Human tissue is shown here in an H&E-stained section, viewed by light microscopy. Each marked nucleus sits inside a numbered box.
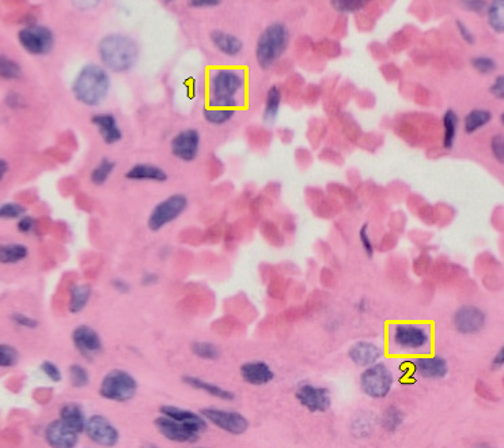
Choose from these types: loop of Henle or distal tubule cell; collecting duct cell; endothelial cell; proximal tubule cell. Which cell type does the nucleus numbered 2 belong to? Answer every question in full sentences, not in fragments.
It is as a loop of Henle or distal tubule cell that the cell numbered 2 is identified.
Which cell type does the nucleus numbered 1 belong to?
In the marked set, the cell given number 1 is a collecting duct cell.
